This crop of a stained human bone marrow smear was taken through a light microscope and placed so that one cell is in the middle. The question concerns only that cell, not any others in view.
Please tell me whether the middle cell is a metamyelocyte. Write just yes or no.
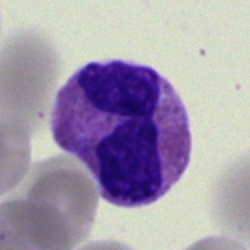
no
